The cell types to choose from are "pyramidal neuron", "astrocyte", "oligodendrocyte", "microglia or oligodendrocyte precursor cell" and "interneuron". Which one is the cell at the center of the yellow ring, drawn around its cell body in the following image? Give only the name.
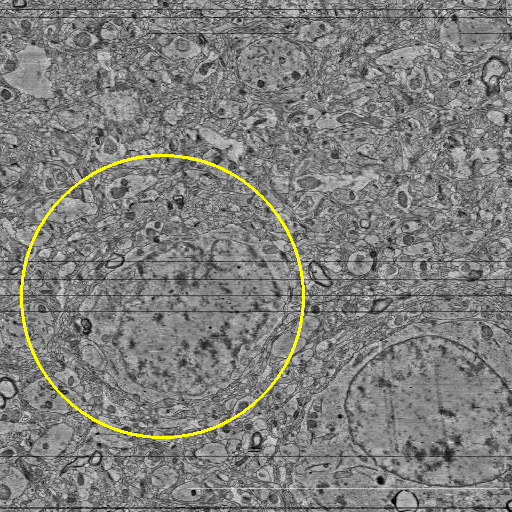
interneuron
